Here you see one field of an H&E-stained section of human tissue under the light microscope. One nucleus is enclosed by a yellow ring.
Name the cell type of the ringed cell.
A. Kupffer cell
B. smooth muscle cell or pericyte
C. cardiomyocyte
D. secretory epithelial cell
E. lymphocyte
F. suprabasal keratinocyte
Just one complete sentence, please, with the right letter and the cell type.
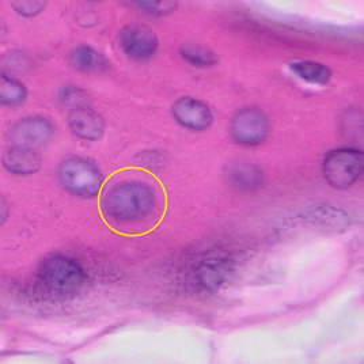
The correct response is option F: the ringed cell is a suprabasal keratinocyte.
